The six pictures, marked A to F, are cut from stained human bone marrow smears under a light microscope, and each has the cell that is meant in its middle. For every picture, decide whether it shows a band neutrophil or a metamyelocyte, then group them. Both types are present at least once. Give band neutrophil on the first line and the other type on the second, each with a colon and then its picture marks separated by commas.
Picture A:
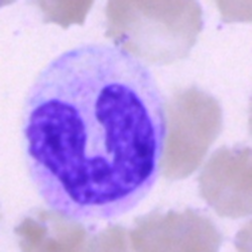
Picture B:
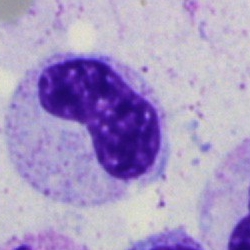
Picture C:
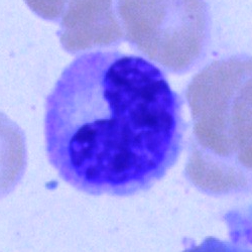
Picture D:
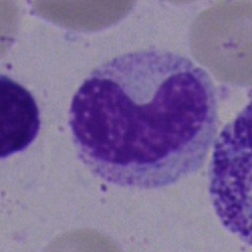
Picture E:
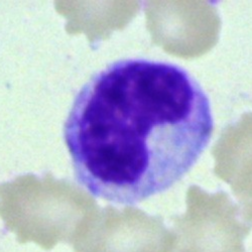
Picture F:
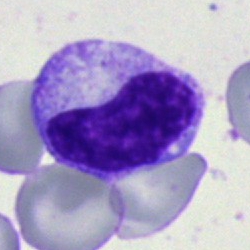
band neutrophil: A, B, D
metamyelocyte: C, E, F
